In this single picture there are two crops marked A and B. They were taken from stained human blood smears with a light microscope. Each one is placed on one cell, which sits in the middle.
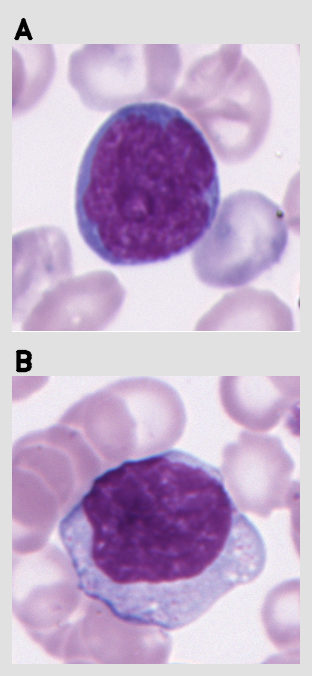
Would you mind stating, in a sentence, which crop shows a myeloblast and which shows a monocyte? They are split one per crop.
Crop A is classified as a myeloblast, and crop B as a monocyte.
